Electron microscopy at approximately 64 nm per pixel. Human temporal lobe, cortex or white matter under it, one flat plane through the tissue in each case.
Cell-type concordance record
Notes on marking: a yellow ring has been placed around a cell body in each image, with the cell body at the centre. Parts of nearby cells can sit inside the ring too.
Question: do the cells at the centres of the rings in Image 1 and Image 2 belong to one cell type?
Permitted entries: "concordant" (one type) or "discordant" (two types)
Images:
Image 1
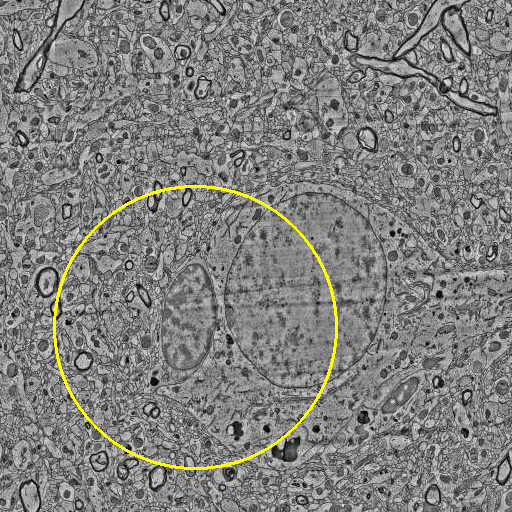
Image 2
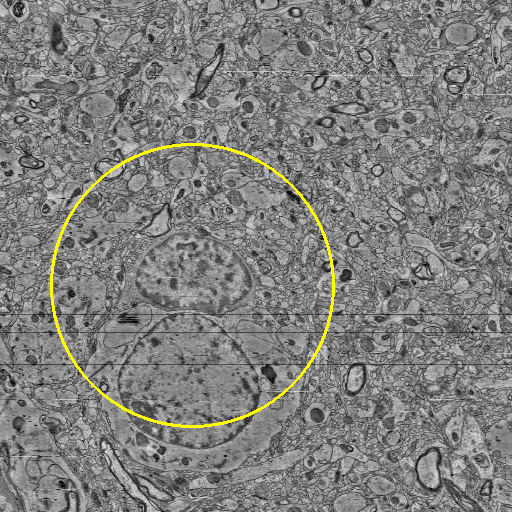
discordant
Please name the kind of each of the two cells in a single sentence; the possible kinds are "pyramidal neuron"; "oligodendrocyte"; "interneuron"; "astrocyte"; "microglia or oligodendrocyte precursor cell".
In the first picture the ring is centred on an oligodendrocyte, and in the second on a microglial cell or oligodendrocyte precursor cell.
